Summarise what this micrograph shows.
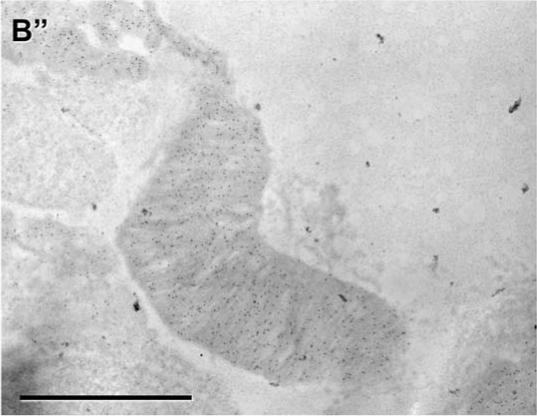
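A curved, elongated block of closely packed parallel membrane discs forms an orderly stack. Fine black dots lie over the disc stack, while the neighbouring pale areas carry few of them.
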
